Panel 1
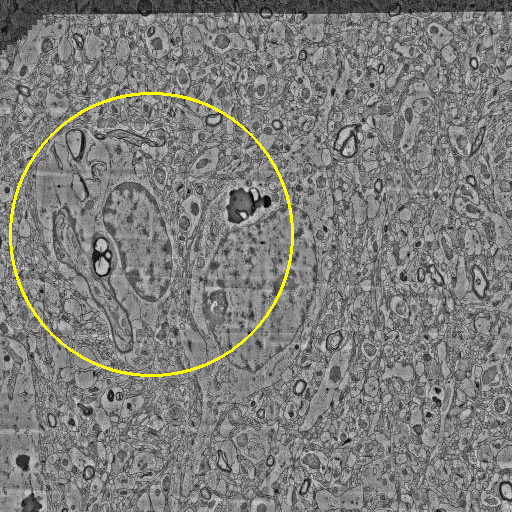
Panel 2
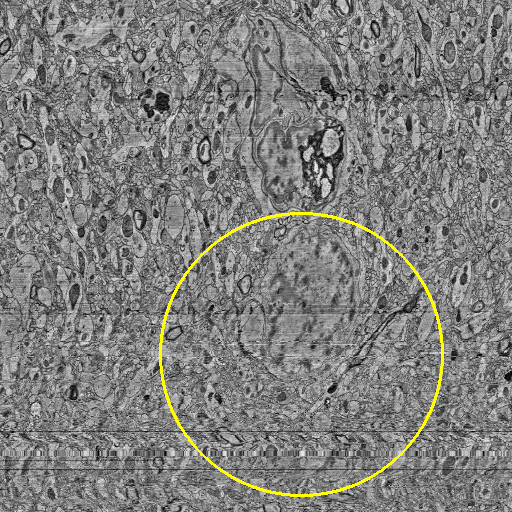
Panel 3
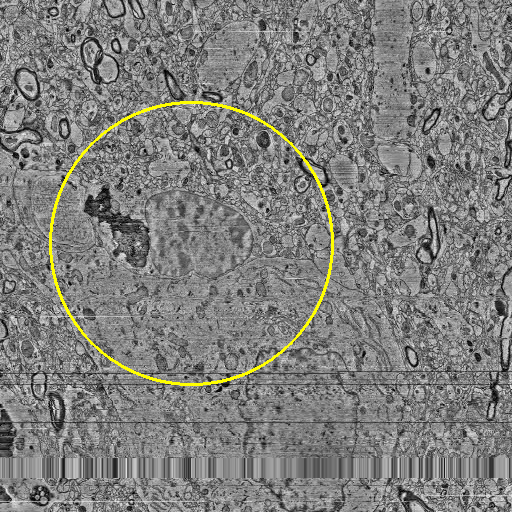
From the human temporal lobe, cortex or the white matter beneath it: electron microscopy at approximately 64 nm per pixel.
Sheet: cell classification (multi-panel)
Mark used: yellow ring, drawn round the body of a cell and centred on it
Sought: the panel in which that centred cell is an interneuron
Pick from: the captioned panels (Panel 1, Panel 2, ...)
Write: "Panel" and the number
Panel 2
